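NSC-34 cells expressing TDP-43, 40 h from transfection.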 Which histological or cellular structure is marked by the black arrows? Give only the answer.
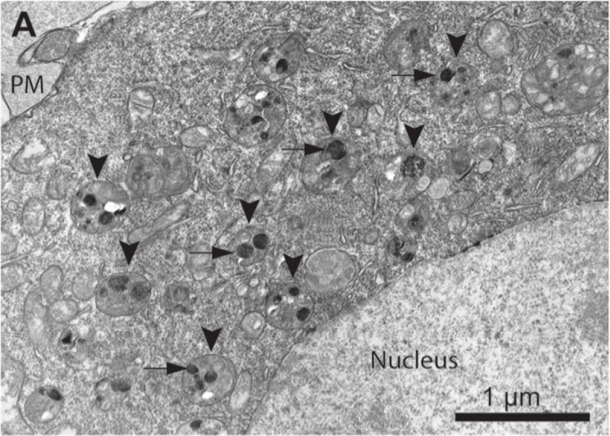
Round shaped electron-dense inclusions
